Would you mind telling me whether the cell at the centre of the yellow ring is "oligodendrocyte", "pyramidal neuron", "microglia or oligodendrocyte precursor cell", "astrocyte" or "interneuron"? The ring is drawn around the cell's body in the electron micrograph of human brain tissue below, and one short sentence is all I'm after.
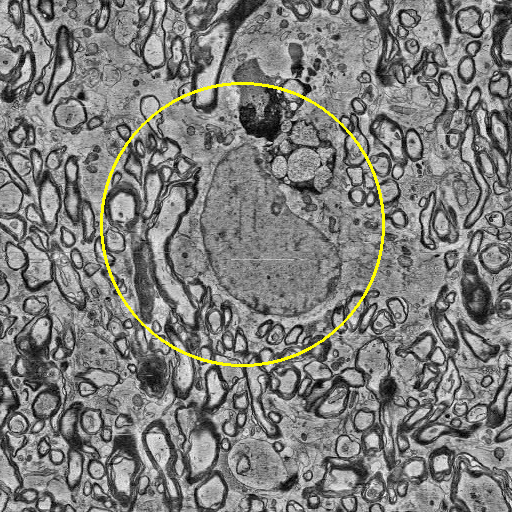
In the centre of the ring lies an astrocyte.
